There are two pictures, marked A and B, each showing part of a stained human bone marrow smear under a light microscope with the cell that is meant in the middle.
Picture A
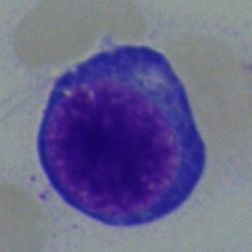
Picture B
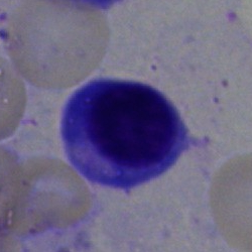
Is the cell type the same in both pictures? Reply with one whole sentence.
No. Picture A shows a proerythroblast, but picture B shows a plasma cell.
